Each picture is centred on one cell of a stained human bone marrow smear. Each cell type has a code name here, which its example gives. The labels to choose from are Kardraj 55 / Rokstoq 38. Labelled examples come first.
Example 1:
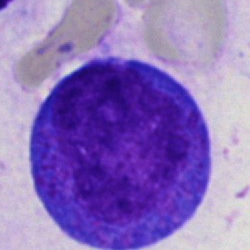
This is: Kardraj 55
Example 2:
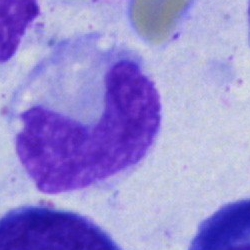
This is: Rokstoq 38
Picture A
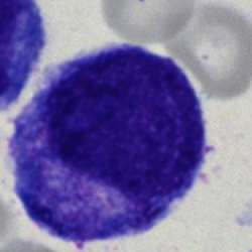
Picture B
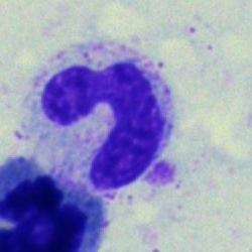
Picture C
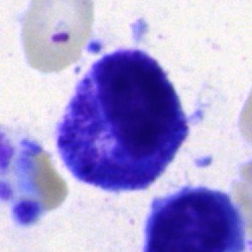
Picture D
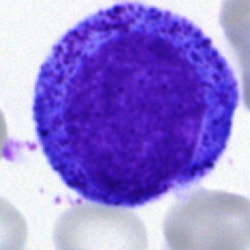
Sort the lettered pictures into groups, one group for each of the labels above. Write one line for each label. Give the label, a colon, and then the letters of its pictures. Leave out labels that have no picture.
Kardraj 55: A, C, D
Rokstoq 38: B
